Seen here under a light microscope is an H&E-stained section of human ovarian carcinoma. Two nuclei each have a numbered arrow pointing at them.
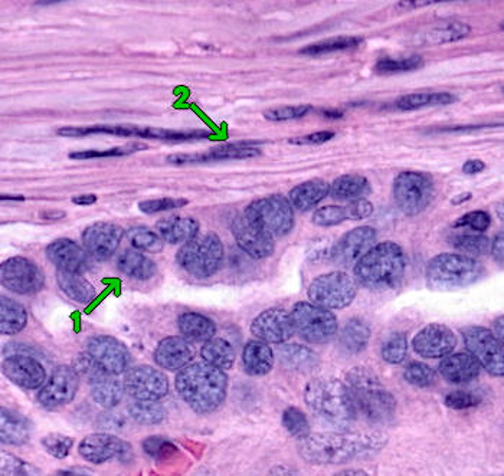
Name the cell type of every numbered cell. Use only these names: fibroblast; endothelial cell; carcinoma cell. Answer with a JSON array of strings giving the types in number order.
["carcinoma cell", "fibroblast"]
